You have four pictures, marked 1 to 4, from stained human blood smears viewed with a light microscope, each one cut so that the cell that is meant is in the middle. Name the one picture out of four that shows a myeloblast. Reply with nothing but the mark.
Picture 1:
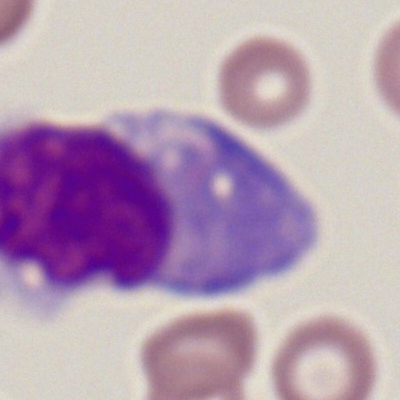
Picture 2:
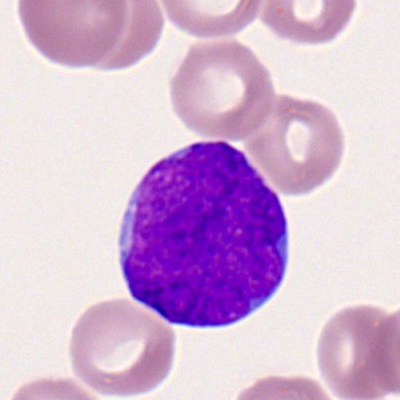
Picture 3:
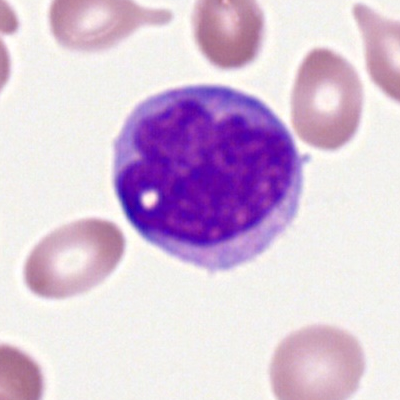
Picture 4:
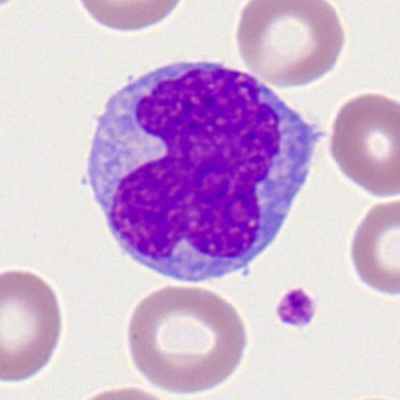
2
